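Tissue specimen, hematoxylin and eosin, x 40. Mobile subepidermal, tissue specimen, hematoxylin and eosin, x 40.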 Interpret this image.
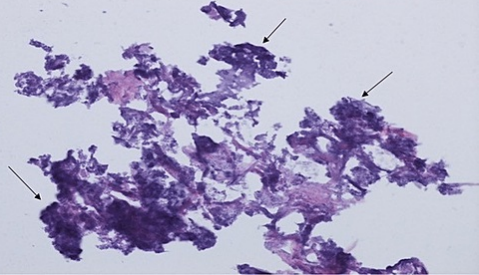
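This is a close view of the inside of a nodule, filled with islands of basophilic calcium. The deposits appear as dark purple, granular clumps that are cracked and broken into fragments. No nuclei or cell outlines can be made out within them. Wisps of paler pink fibrous material run between and around the purple clumps, and clear spaces separate the fragments.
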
